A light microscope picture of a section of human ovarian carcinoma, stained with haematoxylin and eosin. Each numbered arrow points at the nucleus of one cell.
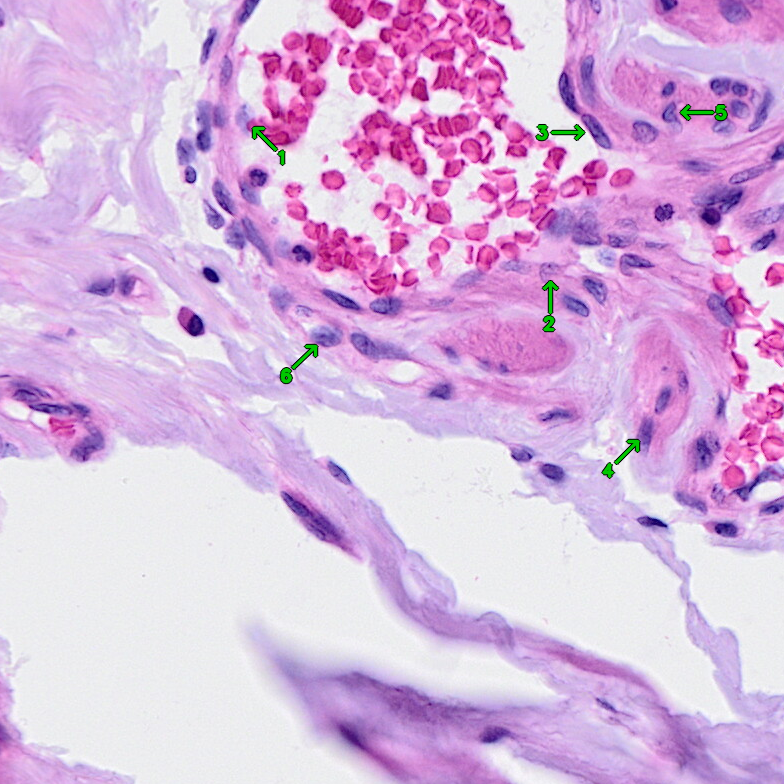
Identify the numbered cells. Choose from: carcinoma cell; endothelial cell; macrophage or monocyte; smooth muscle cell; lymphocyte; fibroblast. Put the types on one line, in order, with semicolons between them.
endothelial cell; endothelial cell; endothelial cell; smooth muscle cell; smooth muscle cell; endothelial cell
